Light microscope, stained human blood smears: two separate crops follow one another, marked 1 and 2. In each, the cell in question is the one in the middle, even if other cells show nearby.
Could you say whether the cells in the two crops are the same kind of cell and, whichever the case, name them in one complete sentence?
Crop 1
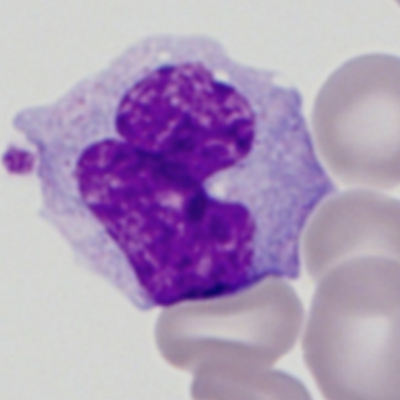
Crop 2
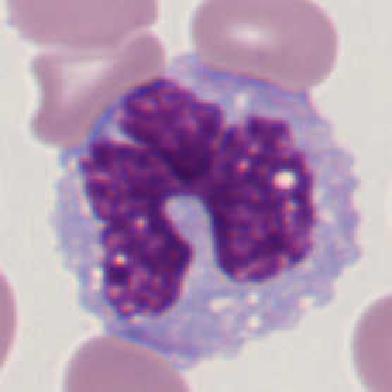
Yes, both crops show monocytes at their middles.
